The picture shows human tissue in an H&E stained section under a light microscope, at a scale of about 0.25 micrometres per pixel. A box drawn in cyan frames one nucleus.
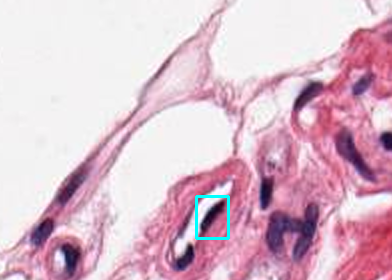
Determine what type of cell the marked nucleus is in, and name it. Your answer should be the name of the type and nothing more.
endothelial cell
